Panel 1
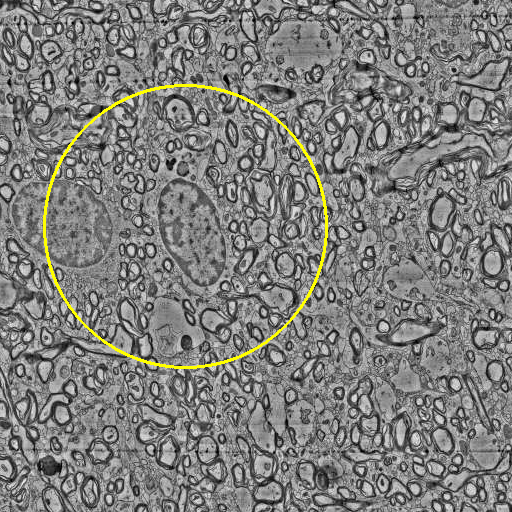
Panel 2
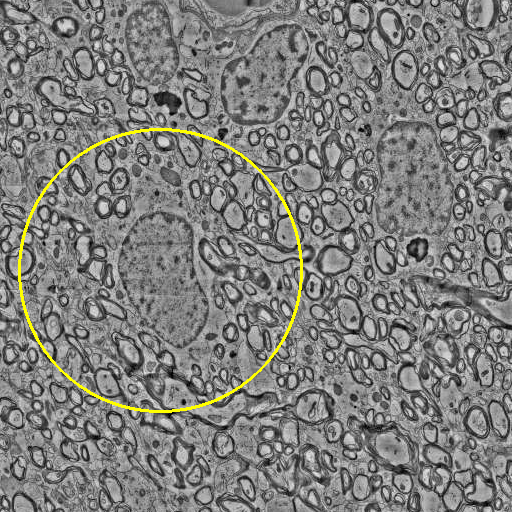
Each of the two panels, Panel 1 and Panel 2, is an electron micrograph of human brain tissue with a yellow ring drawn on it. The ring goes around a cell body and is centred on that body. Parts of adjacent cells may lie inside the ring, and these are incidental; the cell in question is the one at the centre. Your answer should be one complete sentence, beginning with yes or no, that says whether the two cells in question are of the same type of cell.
No, the two cells are of two types.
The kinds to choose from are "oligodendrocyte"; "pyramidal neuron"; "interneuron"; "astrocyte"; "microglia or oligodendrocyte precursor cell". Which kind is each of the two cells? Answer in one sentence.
Of the two, the first cell is a microglial cell or oligodendrocyte precursor cell and the second cell is an astrocyte.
